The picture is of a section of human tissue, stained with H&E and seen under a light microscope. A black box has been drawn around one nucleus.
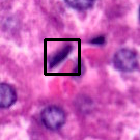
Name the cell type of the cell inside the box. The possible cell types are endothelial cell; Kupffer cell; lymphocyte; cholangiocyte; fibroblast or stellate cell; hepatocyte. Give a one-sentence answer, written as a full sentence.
Recorded by type, the cell inside the box is an endothelial cell.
